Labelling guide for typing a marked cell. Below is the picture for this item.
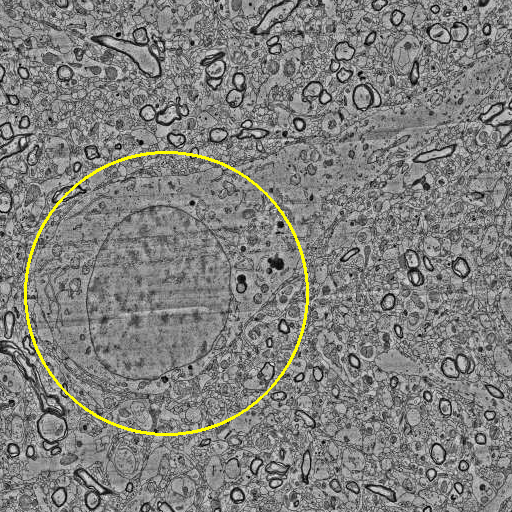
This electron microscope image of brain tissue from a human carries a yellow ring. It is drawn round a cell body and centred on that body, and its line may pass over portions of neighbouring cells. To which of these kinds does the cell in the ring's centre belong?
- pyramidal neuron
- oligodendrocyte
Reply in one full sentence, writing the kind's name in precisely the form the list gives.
Here we have a pyramidal neuron at the centre of the yellow ring in the picture.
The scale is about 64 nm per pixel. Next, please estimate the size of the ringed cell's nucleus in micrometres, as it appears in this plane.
The nucleus works out at approximately 11 by 9 micrometres in this plane.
